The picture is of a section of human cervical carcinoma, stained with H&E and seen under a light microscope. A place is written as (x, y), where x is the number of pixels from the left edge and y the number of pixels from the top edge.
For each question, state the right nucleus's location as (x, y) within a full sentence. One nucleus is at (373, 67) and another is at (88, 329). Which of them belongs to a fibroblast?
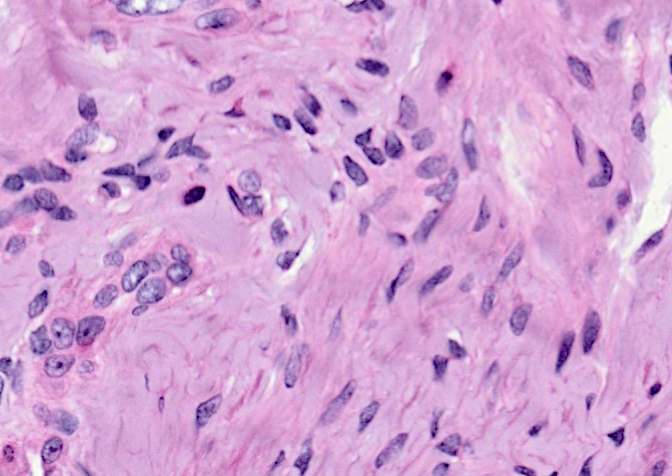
The nucleus at (373, 67) is the one that belongs to a fibroblast.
